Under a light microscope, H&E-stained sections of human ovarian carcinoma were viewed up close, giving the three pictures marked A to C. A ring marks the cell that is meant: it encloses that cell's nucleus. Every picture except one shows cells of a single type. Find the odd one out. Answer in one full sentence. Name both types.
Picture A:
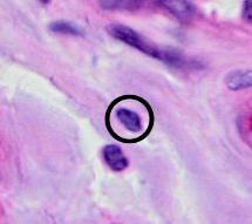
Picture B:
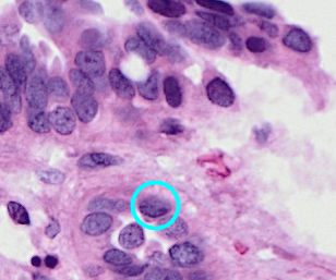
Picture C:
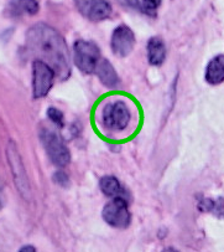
The different one is picture B; it shows a carcinoma cell, whereas all the others show lymphocytes.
